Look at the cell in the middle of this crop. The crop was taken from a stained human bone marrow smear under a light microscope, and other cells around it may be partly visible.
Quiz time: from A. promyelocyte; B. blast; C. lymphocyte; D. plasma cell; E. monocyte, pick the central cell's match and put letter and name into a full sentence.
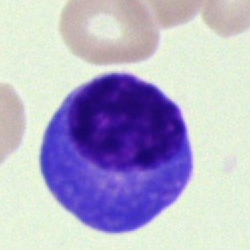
Identification: the cell in the middle is a plasma cell, matching option D.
